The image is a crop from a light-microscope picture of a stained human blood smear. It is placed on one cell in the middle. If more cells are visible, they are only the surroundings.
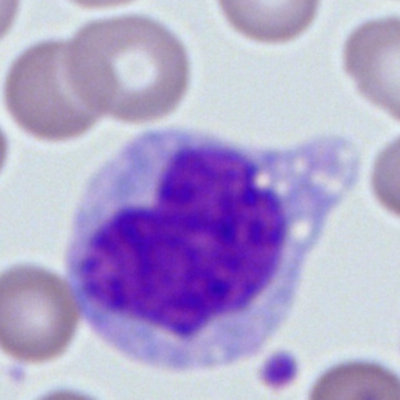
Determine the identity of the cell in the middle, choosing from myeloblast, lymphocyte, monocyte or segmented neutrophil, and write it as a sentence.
The target cell in the middle of the crop is a monocyte.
